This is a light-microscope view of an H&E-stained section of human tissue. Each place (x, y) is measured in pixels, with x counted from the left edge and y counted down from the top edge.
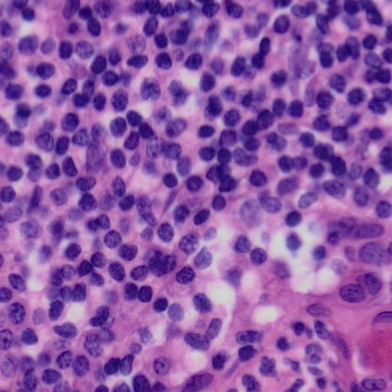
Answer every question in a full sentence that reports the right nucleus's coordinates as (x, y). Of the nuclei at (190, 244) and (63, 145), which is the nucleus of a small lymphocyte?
So, of the two, the nucleus at (63, 145) is the one belonging to a small lymphocyte.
